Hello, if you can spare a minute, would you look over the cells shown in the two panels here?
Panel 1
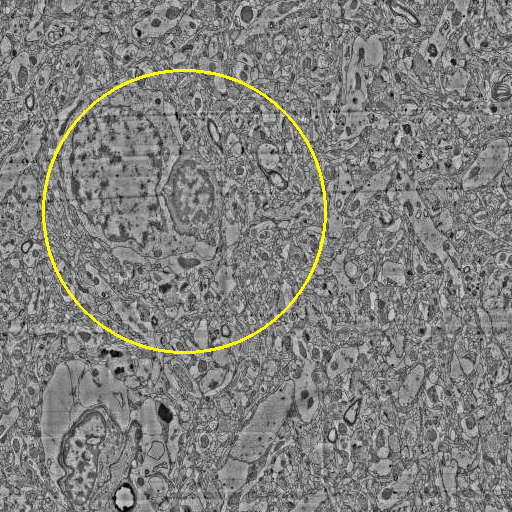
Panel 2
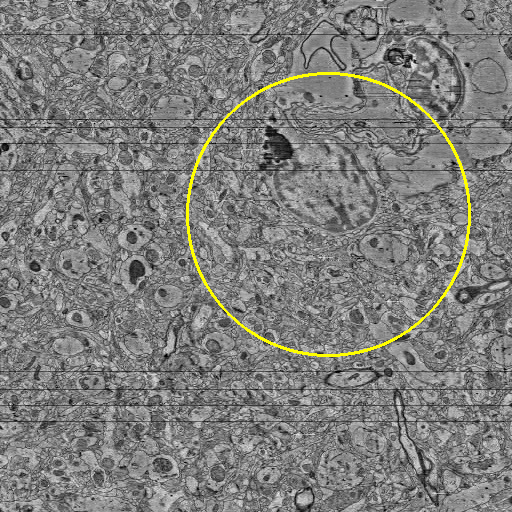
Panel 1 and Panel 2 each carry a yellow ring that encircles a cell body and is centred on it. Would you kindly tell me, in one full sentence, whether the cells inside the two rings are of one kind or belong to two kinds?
The cells at the centres of the rings in Panel 1 and Panel 2 are of one kind.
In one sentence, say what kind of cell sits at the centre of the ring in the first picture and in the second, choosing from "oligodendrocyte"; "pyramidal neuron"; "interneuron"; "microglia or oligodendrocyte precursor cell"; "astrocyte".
Each of the two rings is centred on an oligodendrocyte.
